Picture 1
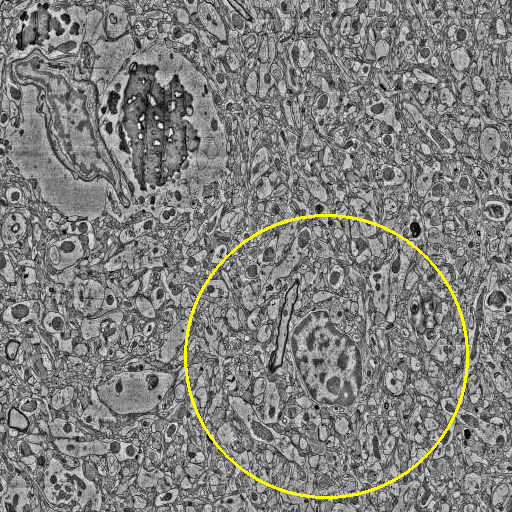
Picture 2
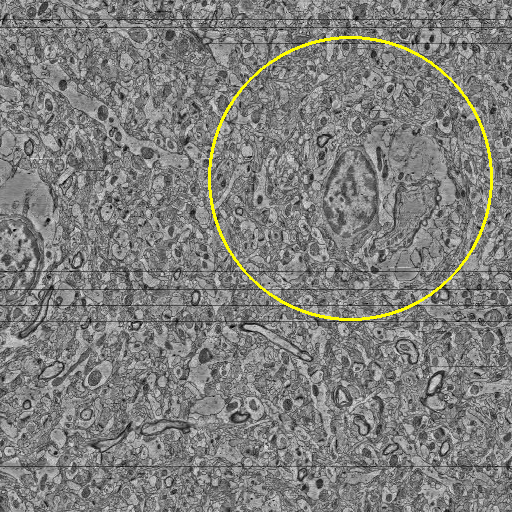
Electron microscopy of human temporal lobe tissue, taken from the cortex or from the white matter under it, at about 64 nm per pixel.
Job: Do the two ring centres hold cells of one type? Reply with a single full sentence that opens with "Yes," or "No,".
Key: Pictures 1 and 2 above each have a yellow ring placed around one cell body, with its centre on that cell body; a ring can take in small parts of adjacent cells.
No, the cells at the two ring centres are of two separate types.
